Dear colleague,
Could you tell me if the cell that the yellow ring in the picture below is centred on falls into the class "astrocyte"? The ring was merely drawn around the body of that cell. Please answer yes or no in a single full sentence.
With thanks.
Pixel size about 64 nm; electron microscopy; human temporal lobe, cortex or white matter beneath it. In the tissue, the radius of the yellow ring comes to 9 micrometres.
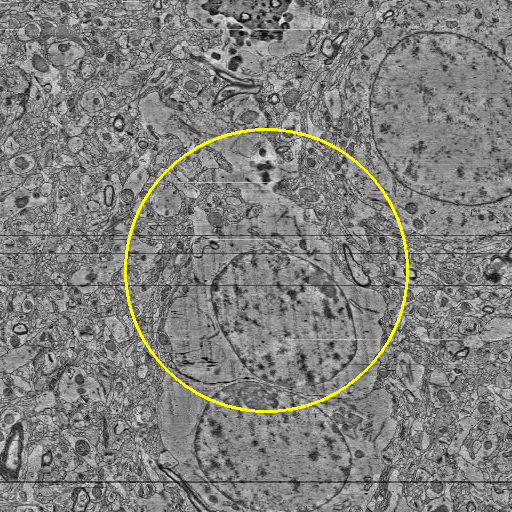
Yes, the cell on which the ring in your picture is centred falls into that class.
